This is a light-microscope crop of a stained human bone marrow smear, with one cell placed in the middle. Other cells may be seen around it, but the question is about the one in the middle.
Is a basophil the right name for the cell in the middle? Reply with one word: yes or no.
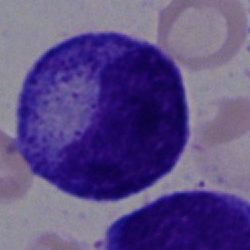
no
